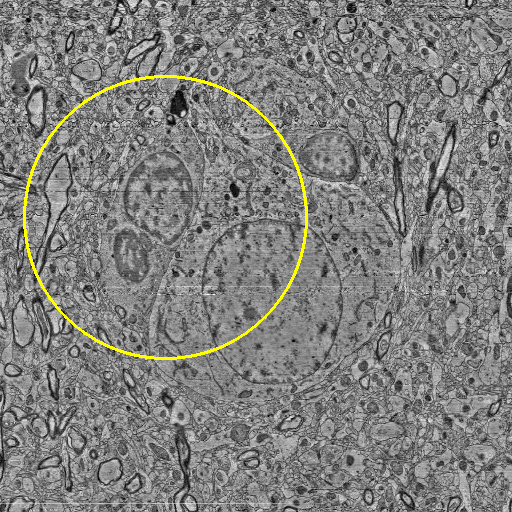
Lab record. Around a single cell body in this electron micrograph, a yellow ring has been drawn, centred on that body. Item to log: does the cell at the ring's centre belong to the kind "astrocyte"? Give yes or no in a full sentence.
No, in the micrograph, the ringed cell at the centre belongs to a different kind.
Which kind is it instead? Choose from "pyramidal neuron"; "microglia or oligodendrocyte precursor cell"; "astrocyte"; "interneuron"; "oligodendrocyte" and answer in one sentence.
Instead, what sits at the centre of the ring is an oligodendrocyte.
